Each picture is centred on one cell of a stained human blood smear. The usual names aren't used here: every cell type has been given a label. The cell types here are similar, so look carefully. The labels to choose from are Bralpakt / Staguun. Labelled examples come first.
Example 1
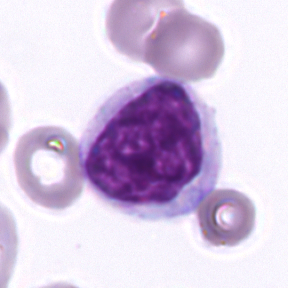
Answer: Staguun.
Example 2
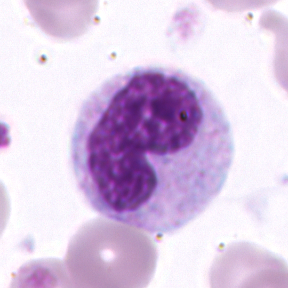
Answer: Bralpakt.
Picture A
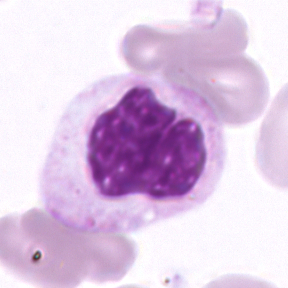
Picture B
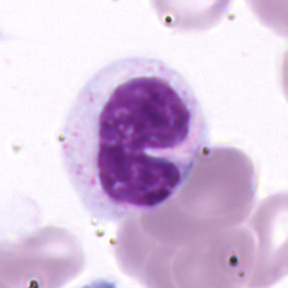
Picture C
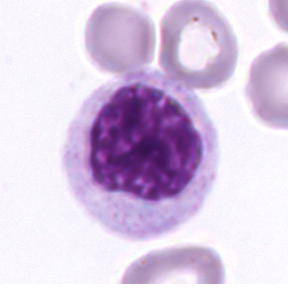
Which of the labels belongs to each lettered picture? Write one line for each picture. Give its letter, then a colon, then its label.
A: Bralpakt.
B: Bralpakt.
C: Staguun.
